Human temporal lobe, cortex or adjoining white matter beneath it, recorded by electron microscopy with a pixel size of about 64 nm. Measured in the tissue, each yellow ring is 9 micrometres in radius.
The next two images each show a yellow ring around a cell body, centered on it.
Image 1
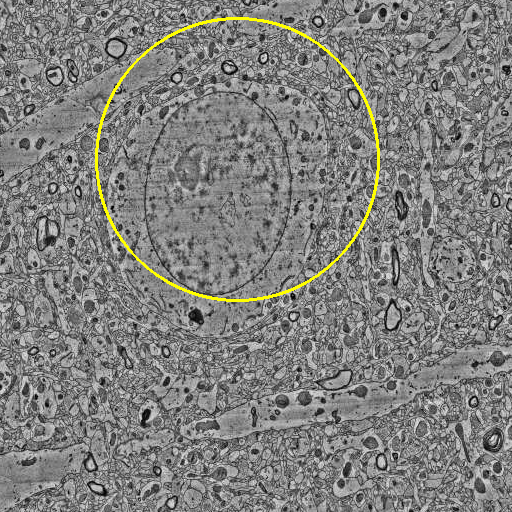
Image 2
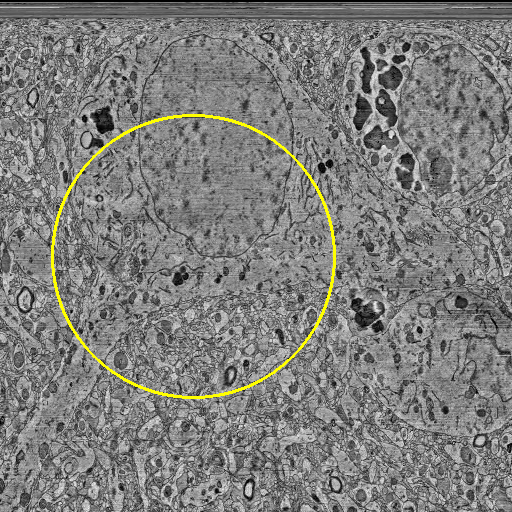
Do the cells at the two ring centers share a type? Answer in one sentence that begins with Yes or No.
Yes, across the two images the cells at the ring centers share one type.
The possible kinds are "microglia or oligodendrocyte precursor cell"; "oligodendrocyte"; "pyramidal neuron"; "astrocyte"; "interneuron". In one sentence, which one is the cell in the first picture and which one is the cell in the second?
In each picture the ringed cell is a pyramidal neuron.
